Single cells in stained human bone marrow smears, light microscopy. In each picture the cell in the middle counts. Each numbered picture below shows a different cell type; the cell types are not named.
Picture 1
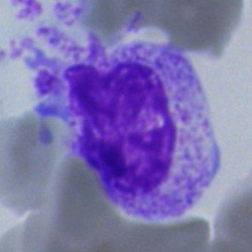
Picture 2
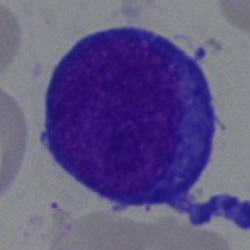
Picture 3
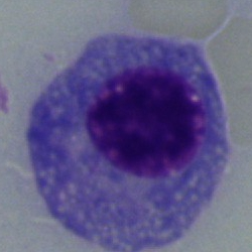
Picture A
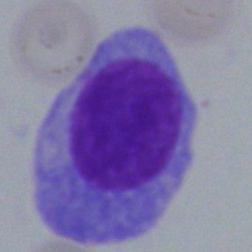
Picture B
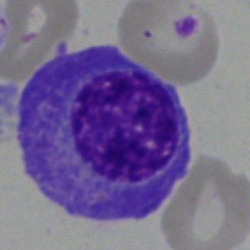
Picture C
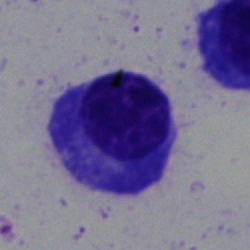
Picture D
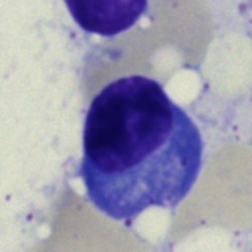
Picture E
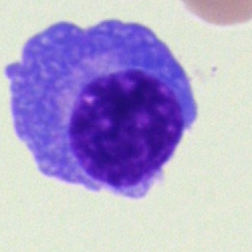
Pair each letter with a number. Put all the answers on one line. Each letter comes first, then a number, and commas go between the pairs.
A 3, B 3, C 3, D 3, E 3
